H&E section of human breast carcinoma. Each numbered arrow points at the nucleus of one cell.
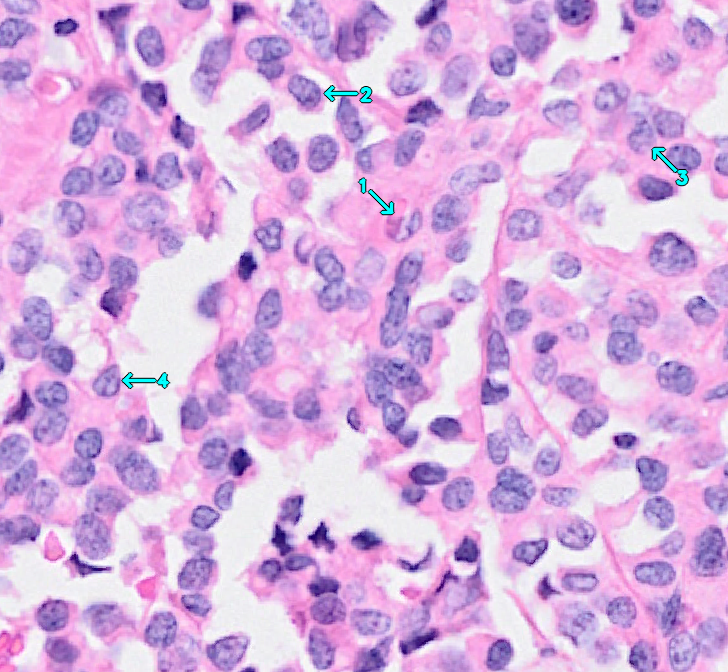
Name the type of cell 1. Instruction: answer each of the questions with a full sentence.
Marked with the number 1, this cell is an endothelial cell.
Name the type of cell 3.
Cell 3, among those numbered, is a carcinoma cell.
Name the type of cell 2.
The cell that goes by number 2 is a carcinoma cell.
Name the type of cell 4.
To a carcinoma cell belongs the nucleus marked 4.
